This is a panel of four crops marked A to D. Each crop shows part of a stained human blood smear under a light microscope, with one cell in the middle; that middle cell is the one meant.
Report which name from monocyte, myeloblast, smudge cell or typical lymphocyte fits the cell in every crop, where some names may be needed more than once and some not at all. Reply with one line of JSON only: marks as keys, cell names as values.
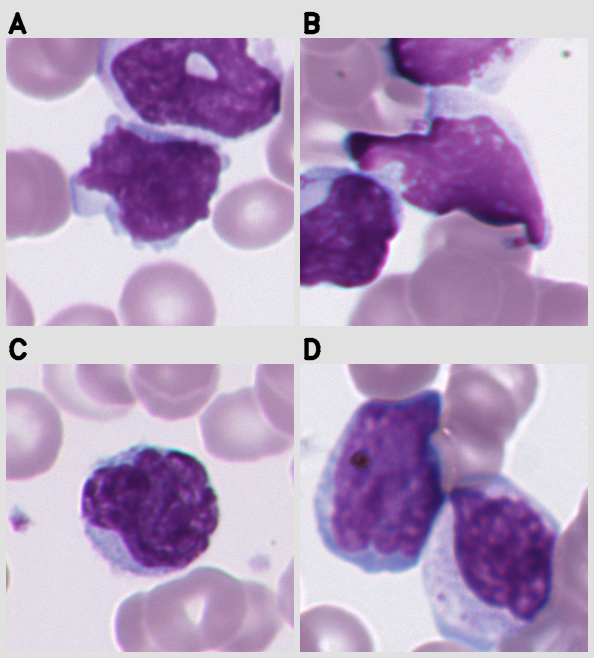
{"A": "typical lymphocyte", "B": "typical lymphocyte", "C": "typical lymphocyte", "D": "myeloblast"}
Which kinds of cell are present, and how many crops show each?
typical lymphocyte: 3
myeloblast: 1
